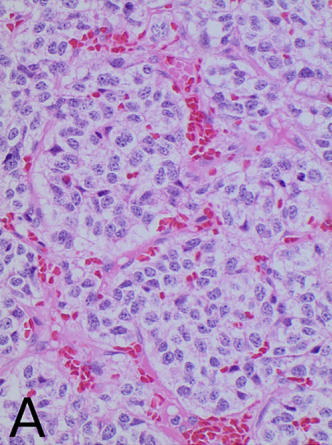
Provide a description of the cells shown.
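Here are rounded nests of tumor cells, each ringed by thin pink fibrous bands that carry many bright red blood cells. Within the nests the cells are fairly uniform and polygonal, with pale, lightly pink to clear cytoplasm and indistinct borders. Their nuclei are round to oval, purple, with fine chromatin and occasional small nucleoli, and they vary little in size. The delicate septa with capillaries divide the tumor into lobules, giving a nested, packeted pattern. This is a tumor built of lobuli of uniform cells surrounded by fibrous septa.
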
